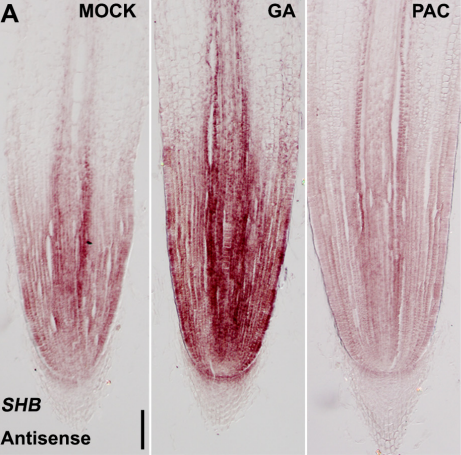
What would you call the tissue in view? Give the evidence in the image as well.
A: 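Each section shows an elongated organ tapering to a rounded apex. Long files of small cells run lengthwise toward the apex. A paler cap of cells covers the very end.
Answer: root tip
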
